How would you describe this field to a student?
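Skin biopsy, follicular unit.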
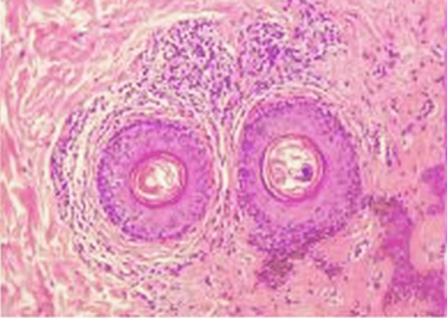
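Two hair follicles are cut in cross-section in the dermis, lying side by side. Each has a wall of several layers of epithelial cells with purple nuclei arranged concentrically around a central lumen. The lumens hold pale pink layered material inside a bright pink ring, and the right lumen also holds a small dark purple body. The connective tissue around and between the follicles is crowded with small cells with dark round nuclei, forming a dense perifollicular infiltrate.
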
